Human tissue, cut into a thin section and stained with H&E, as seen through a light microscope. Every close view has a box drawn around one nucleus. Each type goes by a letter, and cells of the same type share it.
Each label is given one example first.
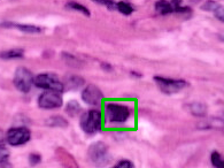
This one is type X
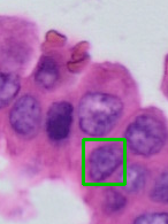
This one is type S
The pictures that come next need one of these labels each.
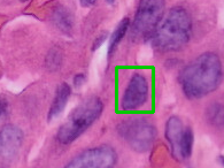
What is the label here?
type S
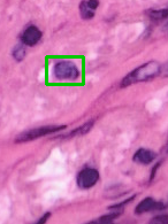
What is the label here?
type X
